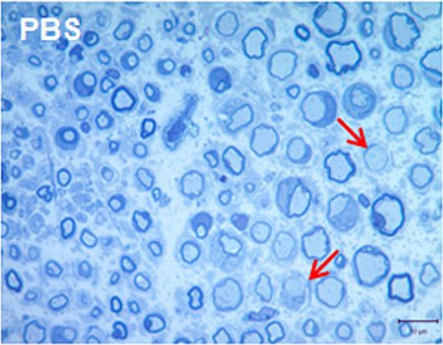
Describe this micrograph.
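This is a cross section of peripheral nerve showing myelinated fibers as dark blue rings of myelin around pale axons, set in a lighter blue endoneurial background. Many of the larger axons are pale with only a thin ring or no visible myelin at all, scattered among fibers with thicker, darker sheaths.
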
